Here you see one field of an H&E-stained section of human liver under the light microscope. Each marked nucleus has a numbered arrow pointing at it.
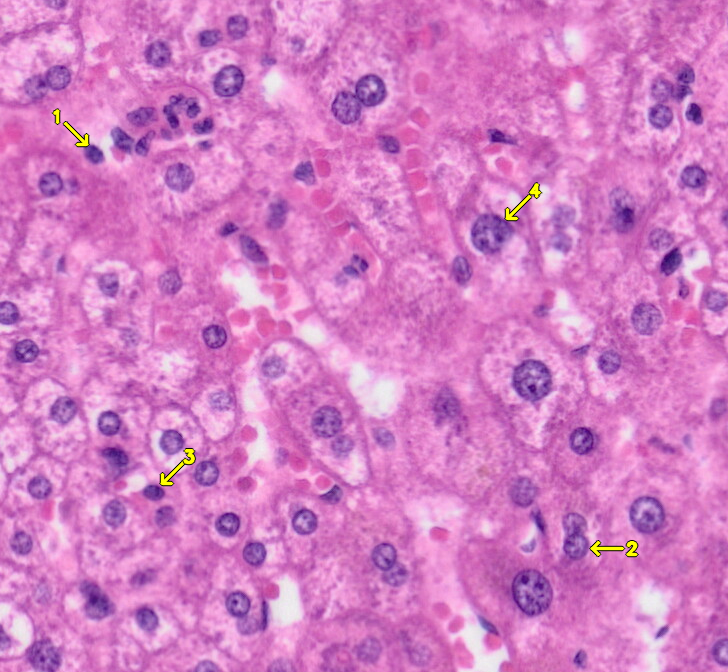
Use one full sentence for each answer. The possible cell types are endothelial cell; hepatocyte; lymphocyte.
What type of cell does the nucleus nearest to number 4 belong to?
It is an endothelial cell whose nucleus is nearest to number 4.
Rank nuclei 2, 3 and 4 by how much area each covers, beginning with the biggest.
By area, largest first, they run 4, 2, 3.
